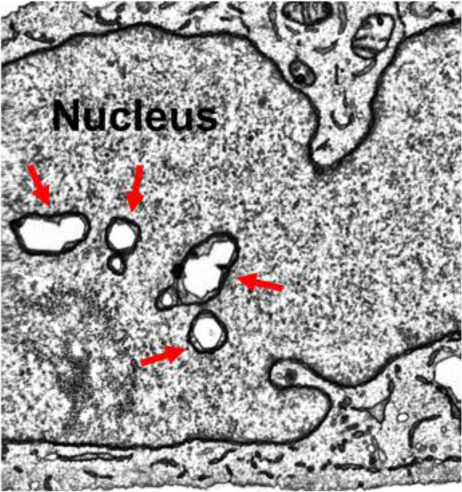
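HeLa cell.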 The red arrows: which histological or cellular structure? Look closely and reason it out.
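The red arrows point to several bright, empty-looking profiles with thick dark rims. These profiles lie within the granular nuclear interior, away from the nuclear envelope.
Hence: crystal sections.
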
